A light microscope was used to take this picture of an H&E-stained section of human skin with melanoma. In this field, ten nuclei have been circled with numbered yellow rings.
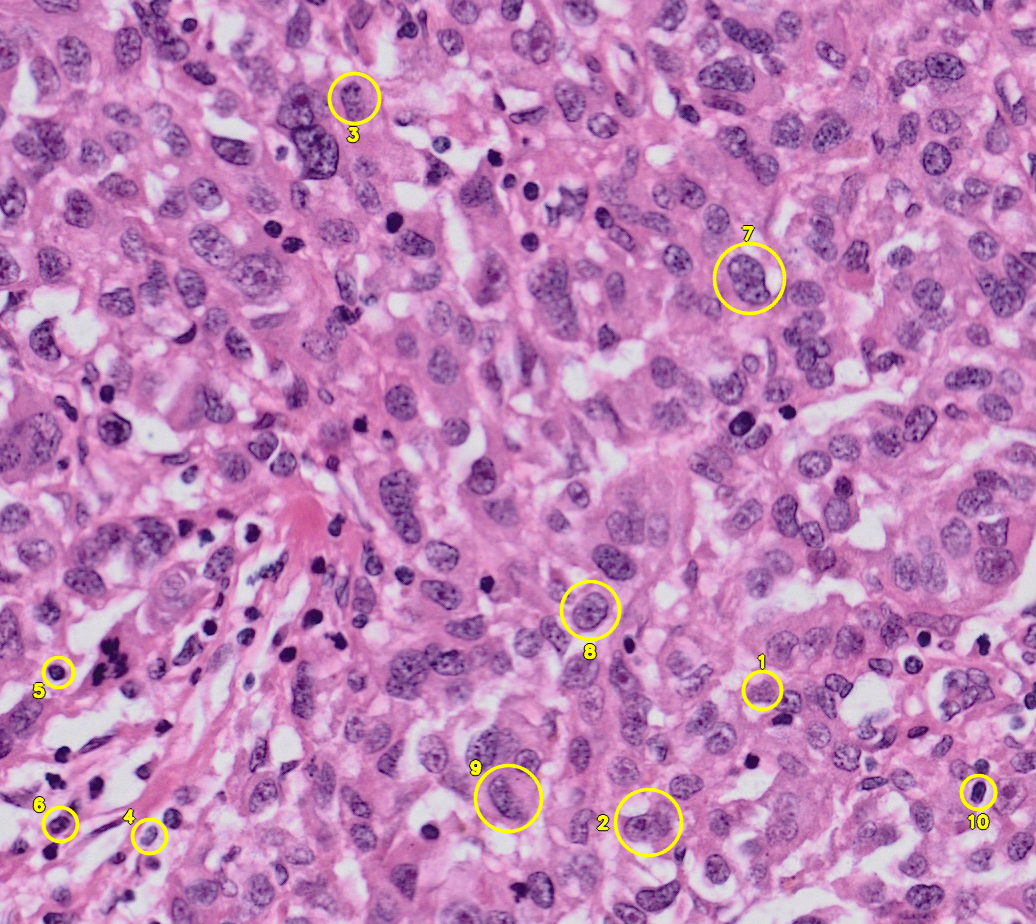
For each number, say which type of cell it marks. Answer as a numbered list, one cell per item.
1. melanoma cell
2. melanoma cell
3. melanoma cell
4. lymphocyte
5. lymphocyte
6. plasma cell
7. melanoma cell
8. melanoma cell
9. melanoma cell
10. lymphocyte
